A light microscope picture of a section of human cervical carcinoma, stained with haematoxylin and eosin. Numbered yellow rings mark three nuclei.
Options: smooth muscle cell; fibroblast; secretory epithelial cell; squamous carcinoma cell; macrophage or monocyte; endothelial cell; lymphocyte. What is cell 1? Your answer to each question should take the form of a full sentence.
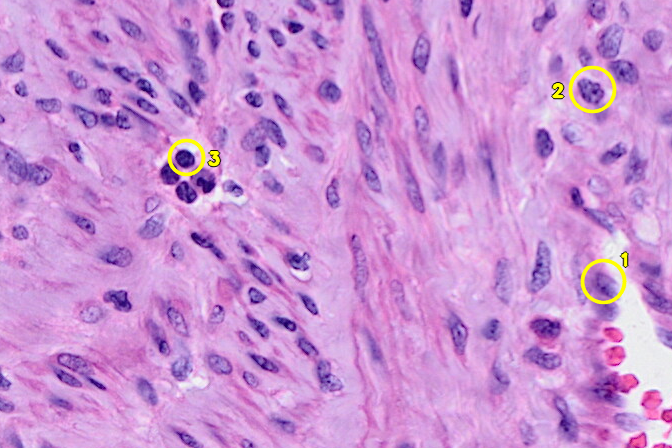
The one labeled 1 is an endothelial cell, to put it simply.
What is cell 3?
The cell referenced by the number 3 is a lymphocyte in this field.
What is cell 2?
The cell numbered 2 has been identified as a lymphocyte.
